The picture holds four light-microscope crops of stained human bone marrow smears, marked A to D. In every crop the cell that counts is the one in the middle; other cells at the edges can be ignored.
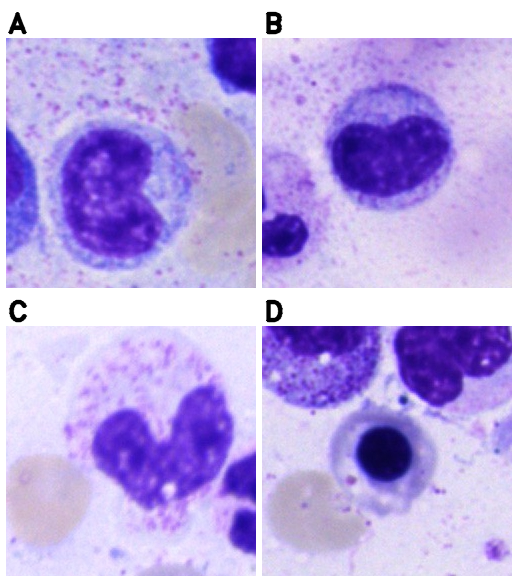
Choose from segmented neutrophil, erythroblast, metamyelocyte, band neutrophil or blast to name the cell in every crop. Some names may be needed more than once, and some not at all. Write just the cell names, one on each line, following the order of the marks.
metamyelocyte
metamyelocyte
band neutrophil
erythroblast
